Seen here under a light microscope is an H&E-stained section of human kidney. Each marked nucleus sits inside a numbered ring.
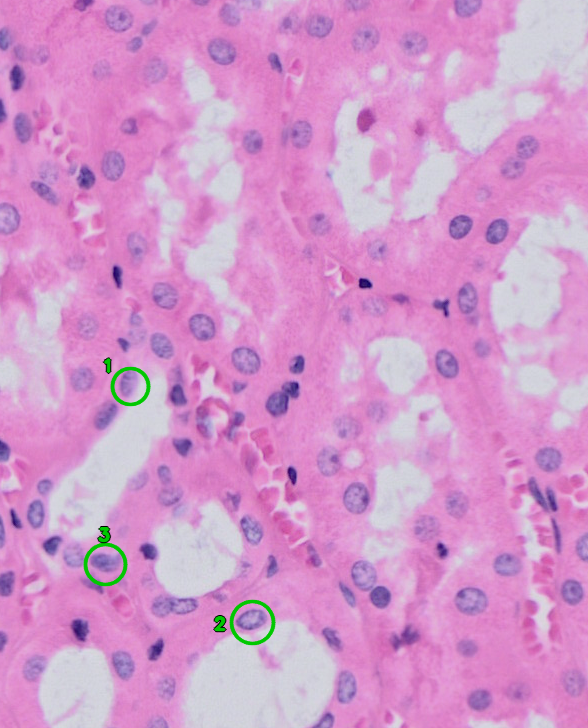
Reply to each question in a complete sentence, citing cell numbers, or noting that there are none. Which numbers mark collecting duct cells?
The cells that bear the numbers 1 and 3 are collecting duct cells.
